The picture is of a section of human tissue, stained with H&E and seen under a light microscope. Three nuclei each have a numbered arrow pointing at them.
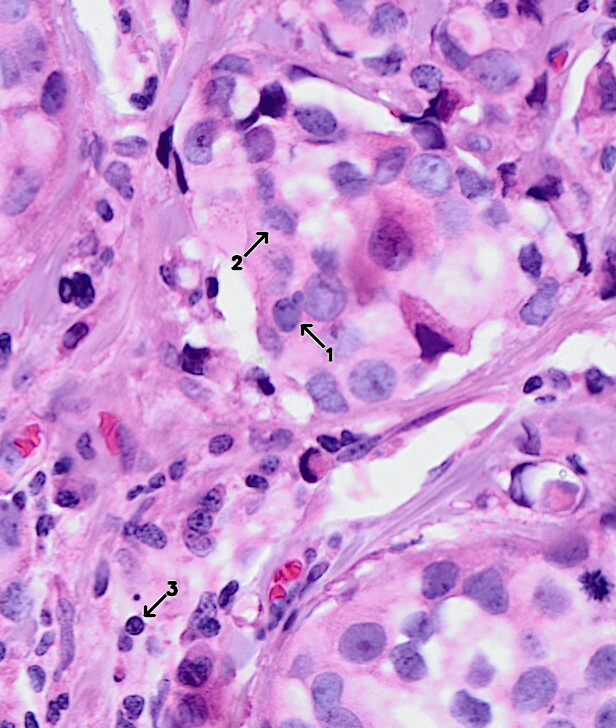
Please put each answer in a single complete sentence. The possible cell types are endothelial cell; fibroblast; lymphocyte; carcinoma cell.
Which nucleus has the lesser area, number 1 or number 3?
Number 3 is smaller, since number 1 takes up about 2.5 times as much area.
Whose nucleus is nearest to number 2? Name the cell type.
The cell nearest to number 2 is a carcinoma cell.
